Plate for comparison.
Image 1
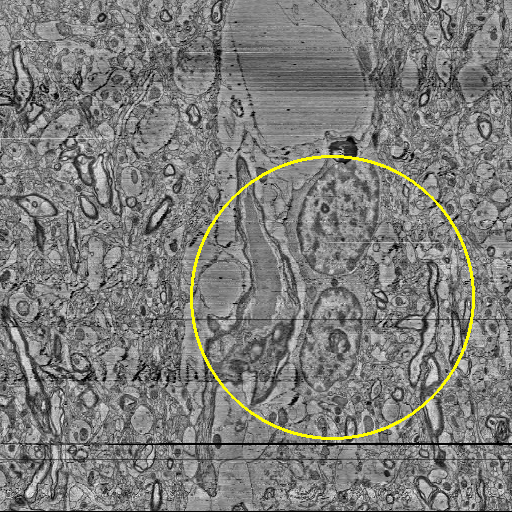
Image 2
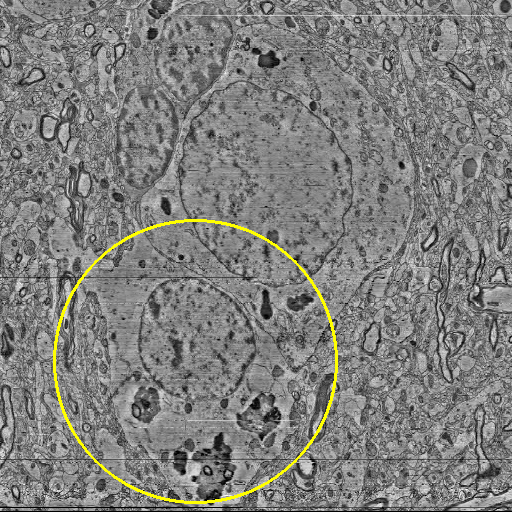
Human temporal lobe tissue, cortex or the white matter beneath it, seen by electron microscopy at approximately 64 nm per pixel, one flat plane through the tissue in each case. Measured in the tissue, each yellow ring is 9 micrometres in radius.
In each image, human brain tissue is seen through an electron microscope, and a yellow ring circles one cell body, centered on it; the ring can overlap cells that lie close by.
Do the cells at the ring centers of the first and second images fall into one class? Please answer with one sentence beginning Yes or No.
No, the first and second images show two classes of cell at the ring centers.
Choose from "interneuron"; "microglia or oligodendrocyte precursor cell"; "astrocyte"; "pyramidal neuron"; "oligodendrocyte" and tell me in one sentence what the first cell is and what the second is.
What the first ring is centred on is an oligodendrocyte; what the second ring is centred on is an astrocyte.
